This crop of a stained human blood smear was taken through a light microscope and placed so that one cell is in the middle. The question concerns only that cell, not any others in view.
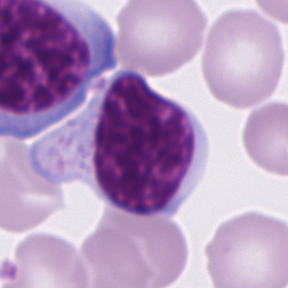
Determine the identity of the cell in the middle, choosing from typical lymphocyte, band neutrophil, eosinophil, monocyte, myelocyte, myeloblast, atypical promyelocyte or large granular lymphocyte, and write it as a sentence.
The cell marked by its central position in the crop is a large granular lymphocyte.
